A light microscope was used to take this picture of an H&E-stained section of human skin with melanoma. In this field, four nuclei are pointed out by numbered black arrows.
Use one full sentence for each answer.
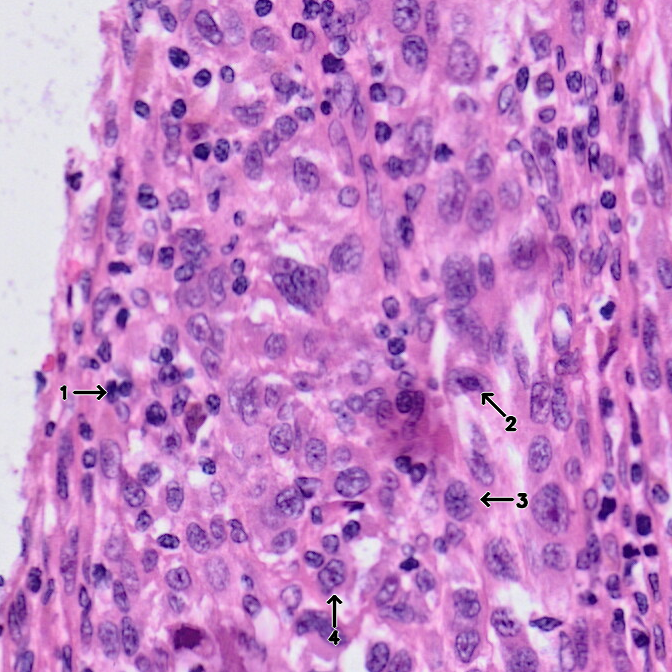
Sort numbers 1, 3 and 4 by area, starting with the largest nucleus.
Going from the biggest nucleus down to the smallest gives 3, 4, 1.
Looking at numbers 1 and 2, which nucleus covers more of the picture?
The larger nucleus is 2, at roughly 4 times the area of 1.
